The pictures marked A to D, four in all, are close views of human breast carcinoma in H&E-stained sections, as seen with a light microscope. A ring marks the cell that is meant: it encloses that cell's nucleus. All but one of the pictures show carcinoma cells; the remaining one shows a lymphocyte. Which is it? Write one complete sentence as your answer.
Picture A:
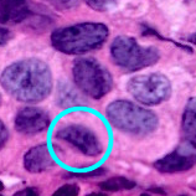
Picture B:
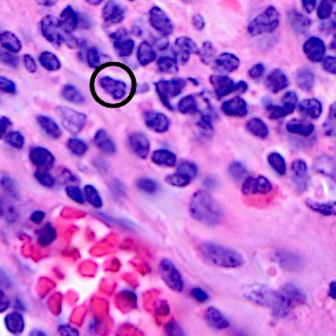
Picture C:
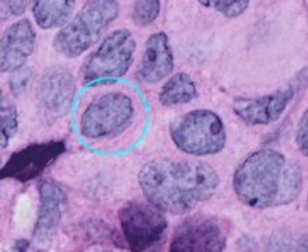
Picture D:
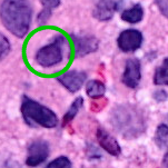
The cell in picture B is the lymphocyte.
